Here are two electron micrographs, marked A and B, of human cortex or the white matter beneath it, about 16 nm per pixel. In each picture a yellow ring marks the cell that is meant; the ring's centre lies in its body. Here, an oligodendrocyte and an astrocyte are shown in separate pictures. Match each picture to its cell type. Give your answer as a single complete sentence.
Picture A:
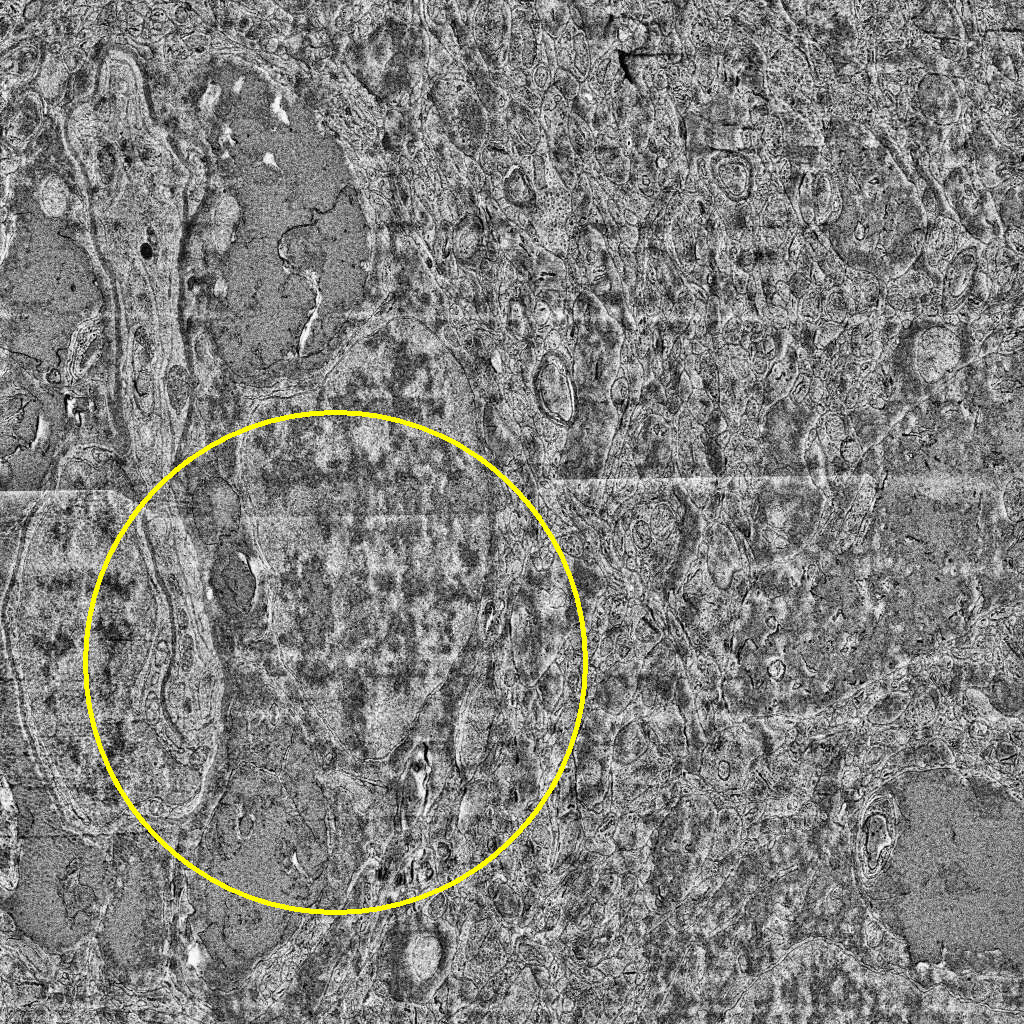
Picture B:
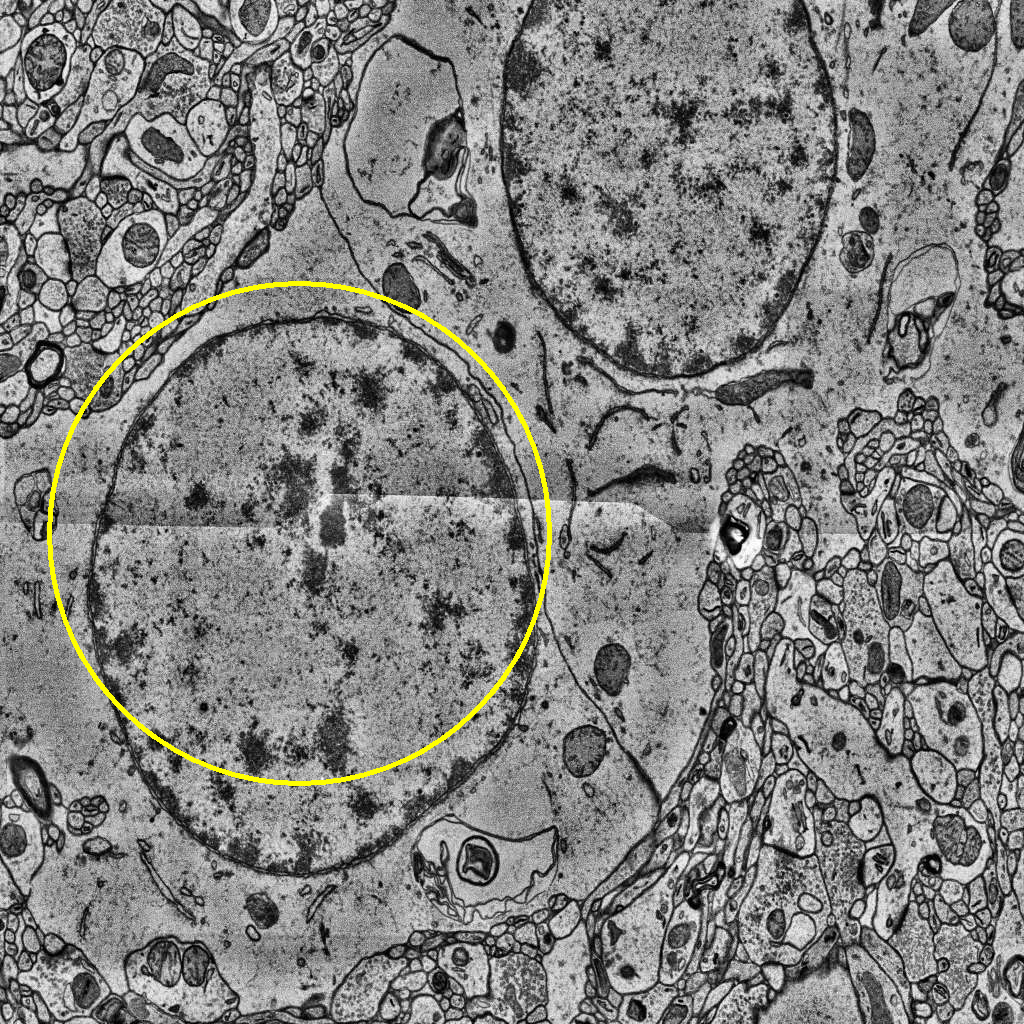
It is picture A that shows an oligodendrocyte, and picture B that shows an astrocyte.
